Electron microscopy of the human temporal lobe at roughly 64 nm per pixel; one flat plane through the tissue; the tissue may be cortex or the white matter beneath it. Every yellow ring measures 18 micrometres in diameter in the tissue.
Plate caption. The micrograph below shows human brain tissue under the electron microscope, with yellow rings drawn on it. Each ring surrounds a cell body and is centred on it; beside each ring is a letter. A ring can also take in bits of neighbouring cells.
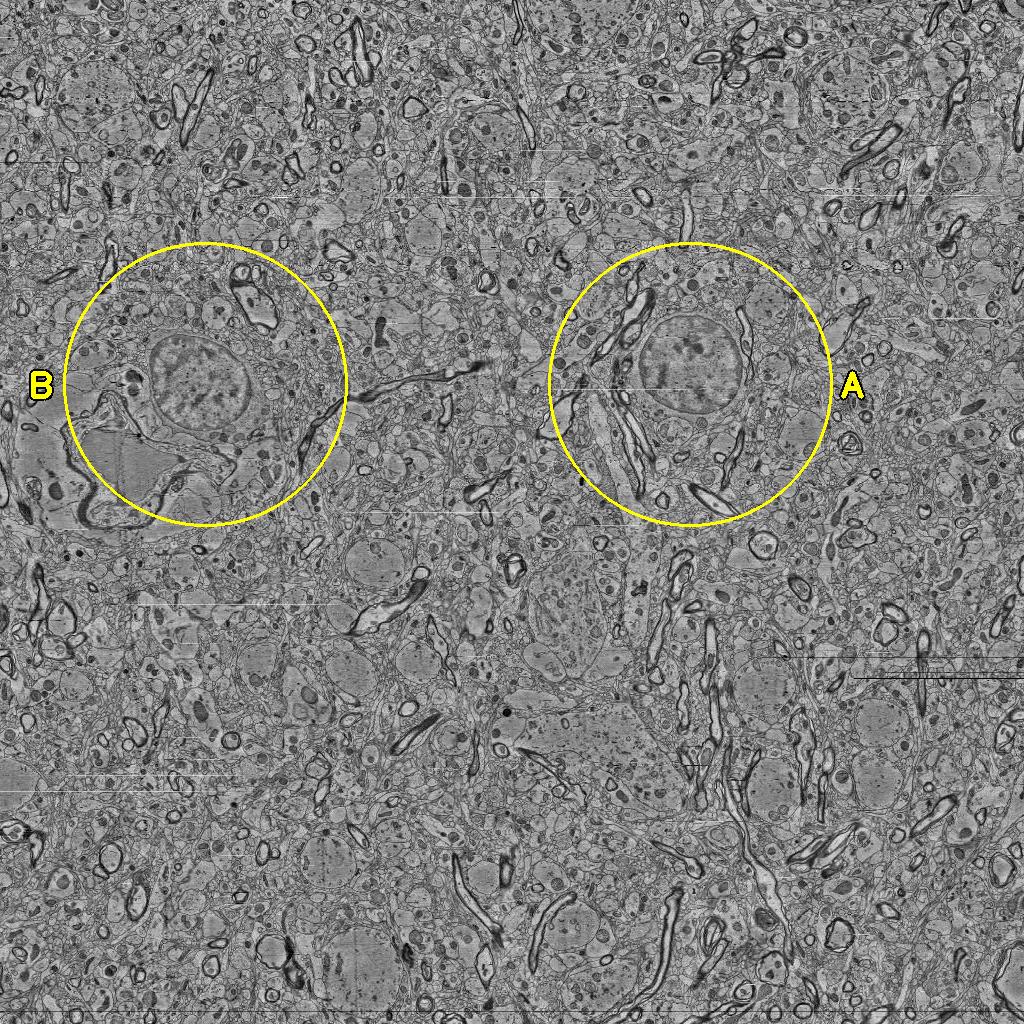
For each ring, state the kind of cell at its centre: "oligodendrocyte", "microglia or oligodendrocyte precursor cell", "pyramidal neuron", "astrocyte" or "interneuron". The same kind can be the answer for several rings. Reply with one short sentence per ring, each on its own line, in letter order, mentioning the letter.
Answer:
Ring A is drawn around an oligodendrocyte.
Ring B is drawn around an oligodendrocyte.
